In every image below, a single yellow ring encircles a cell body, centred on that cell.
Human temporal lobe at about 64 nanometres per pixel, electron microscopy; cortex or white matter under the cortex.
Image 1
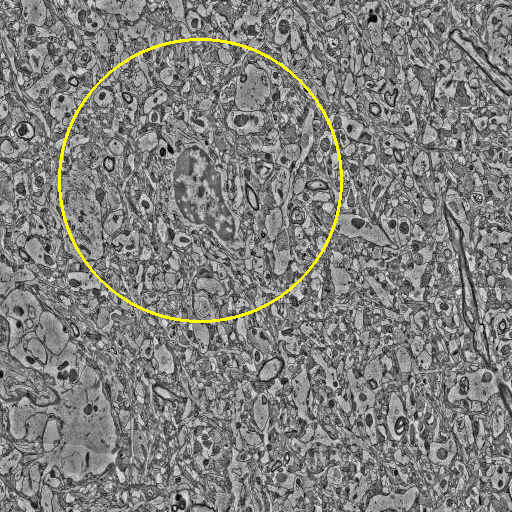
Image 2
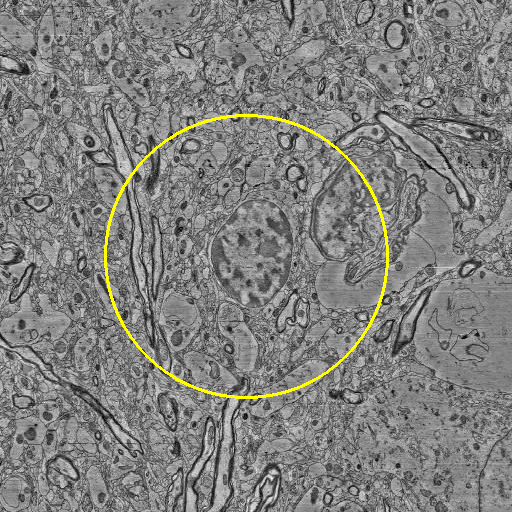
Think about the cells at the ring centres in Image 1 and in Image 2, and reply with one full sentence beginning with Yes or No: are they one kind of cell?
Yes, the cells centred in the rings of Image 1 and Image 2 are one kind of cell.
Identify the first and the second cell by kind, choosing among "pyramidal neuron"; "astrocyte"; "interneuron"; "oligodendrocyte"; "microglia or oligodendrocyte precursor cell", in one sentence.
The cell at the ring centre is a microglial cell or oligodendrocyte precursor cell in both pictures.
